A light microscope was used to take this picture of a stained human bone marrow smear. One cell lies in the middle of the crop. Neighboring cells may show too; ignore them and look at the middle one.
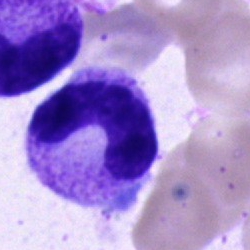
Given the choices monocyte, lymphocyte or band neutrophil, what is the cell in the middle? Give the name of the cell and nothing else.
band neutrophil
